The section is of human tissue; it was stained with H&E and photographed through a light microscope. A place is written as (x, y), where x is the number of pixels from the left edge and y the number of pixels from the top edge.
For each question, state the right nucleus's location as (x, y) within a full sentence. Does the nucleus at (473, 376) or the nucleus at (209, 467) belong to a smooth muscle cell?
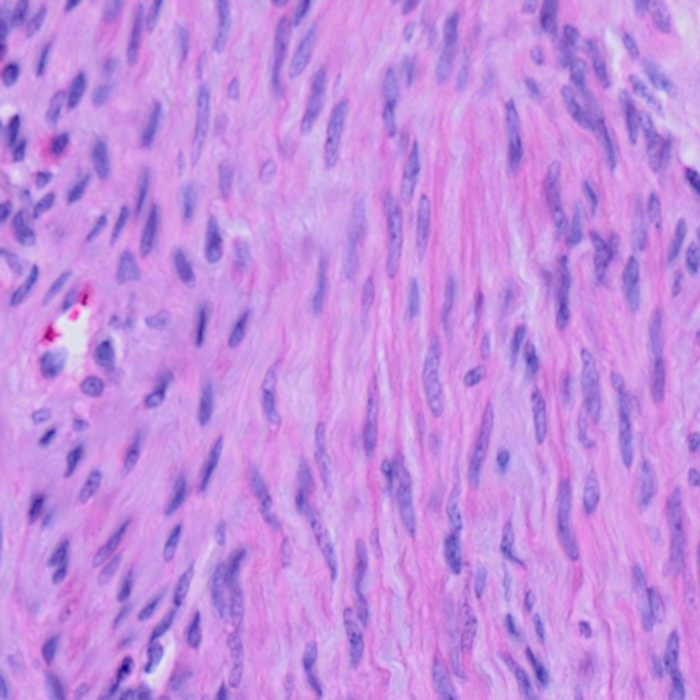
That would be the nucleus at (473, 376); it belongs to a smooth muscle cell.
